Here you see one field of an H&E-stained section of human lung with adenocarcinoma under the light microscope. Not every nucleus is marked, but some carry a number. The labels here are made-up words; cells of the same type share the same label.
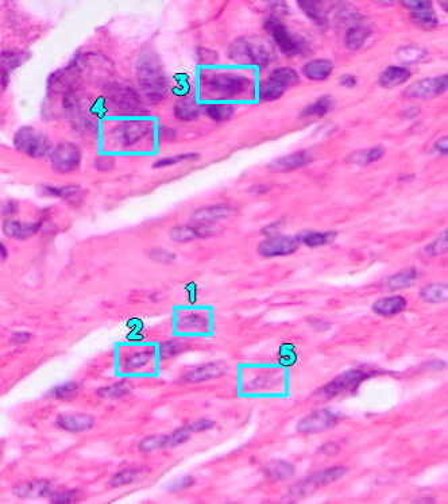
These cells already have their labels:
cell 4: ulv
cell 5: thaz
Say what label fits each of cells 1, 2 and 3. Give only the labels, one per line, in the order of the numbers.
thaz
thaz
ulv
